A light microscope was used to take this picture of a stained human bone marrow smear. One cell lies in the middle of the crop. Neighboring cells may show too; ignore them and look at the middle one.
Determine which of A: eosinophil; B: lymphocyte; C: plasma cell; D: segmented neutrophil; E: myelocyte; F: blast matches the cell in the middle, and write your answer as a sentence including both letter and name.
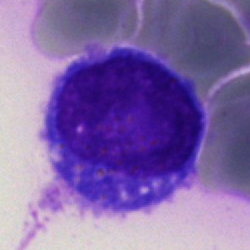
Here the right option is F, as the cell in the middle is a blast.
